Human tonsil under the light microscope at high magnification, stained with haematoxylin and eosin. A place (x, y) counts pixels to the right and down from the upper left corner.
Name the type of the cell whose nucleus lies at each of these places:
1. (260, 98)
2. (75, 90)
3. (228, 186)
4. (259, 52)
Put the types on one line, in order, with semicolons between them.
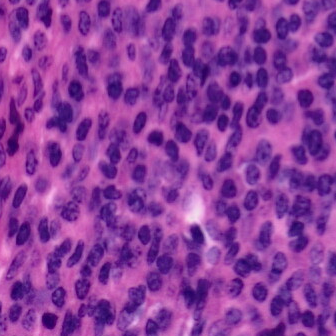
small lymphocyte; plasma cell; plasma cell; small lymphocyte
